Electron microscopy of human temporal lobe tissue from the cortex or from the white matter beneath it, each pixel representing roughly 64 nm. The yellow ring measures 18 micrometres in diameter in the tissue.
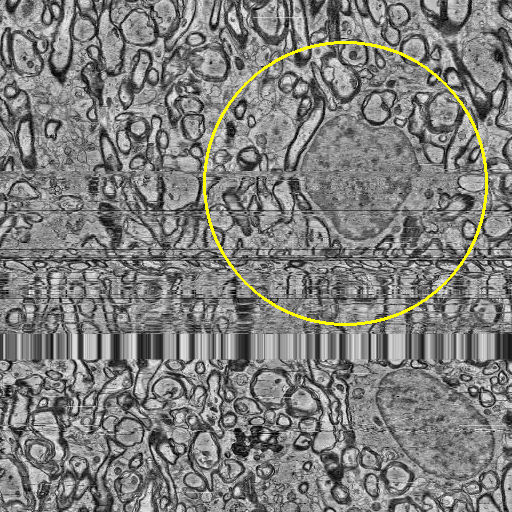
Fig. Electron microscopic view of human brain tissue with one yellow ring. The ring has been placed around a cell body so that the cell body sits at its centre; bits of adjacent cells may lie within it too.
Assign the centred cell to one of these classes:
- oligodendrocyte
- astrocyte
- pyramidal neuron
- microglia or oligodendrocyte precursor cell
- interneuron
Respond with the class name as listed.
oligodendrocyte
